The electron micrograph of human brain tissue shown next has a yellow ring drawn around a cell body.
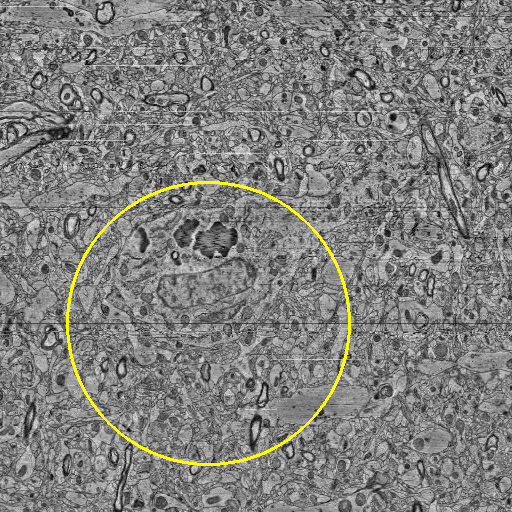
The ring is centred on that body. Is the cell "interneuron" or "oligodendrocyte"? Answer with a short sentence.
The cell in question is an interneuron.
